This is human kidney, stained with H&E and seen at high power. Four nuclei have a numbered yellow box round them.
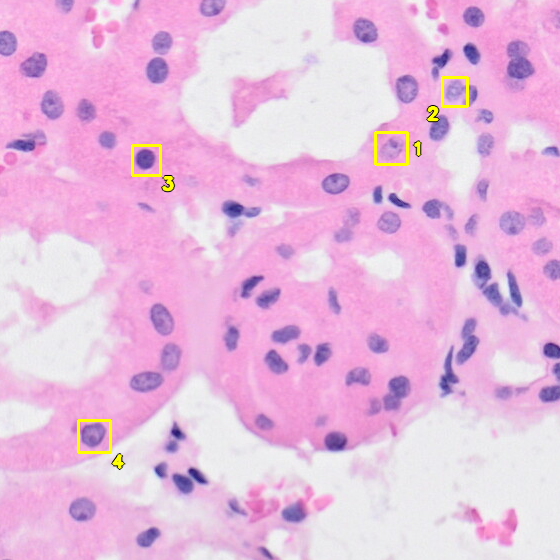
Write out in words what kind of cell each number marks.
Cell 1 is a proximal tubule cell, cell 2 is a collecting duct cell, cell 3 is a proximal tubule cell and cell 4 is a proximal tubule cell.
